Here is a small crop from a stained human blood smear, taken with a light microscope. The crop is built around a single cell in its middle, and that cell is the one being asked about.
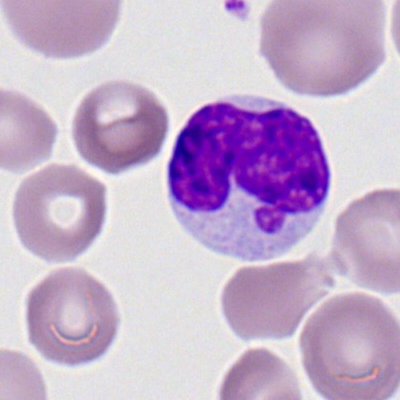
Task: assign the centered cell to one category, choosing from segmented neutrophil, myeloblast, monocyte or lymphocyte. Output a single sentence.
The cell centered in this field of view is a monocyte.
